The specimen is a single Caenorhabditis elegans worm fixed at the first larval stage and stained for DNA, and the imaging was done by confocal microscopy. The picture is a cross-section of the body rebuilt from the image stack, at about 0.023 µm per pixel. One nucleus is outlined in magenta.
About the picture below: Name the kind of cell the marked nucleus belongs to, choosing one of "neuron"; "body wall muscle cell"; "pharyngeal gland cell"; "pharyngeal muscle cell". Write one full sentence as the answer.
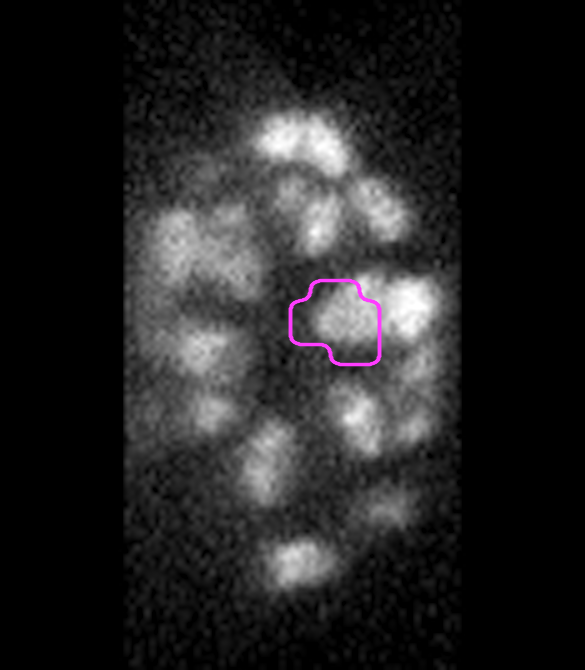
The cell with the marked nucleus is a pharyngeal muscle cell.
